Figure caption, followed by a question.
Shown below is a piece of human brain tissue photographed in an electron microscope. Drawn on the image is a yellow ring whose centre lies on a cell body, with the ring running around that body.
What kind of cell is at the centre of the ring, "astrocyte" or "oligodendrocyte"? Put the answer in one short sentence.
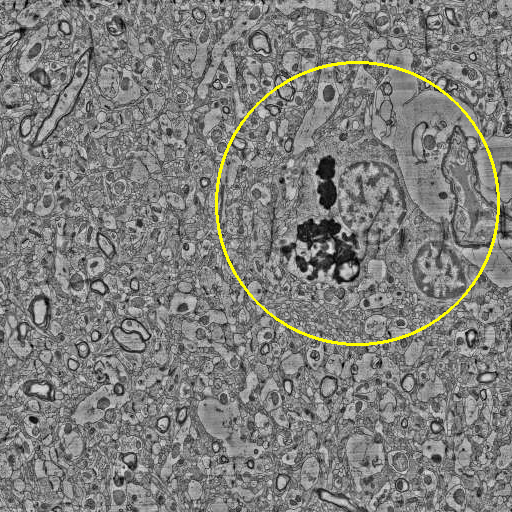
The ring marks the cell body of an oligodendrocyte.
